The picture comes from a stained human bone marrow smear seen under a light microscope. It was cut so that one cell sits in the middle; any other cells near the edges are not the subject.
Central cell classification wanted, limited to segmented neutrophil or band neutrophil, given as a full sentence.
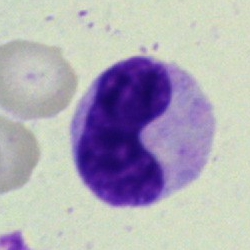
Classified as a band neutrophil is the cell in the middle of this crop.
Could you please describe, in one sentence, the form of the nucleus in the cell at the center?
The nucleus holds together as a single compact mass, round, oval or kidney-like.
